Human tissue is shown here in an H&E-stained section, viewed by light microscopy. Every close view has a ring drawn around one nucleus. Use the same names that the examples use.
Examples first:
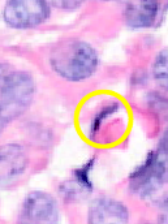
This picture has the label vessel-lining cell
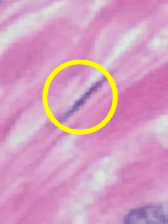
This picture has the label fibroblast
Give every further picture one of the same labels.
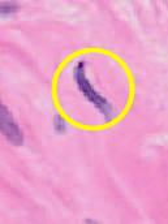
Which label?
fibroblast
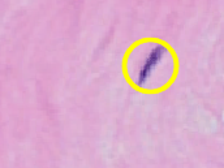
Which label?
fibroblast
